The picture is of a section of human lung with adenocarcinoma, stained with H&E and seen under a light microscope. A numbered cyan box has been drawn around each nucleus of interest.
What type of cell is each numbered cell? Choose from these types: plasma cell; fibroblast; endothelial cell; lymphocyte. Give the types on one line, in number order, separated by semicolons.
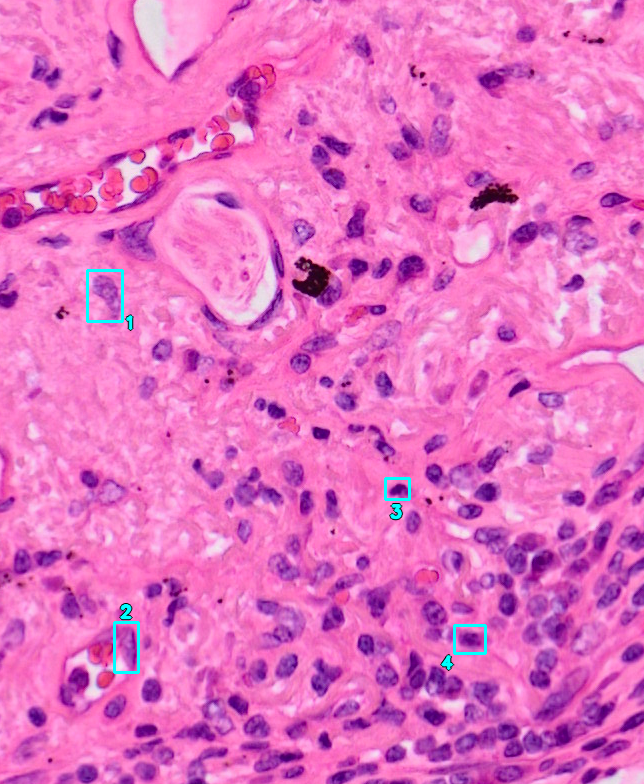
fibroblast; endothelial cell; lymphocyte; plasma cell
